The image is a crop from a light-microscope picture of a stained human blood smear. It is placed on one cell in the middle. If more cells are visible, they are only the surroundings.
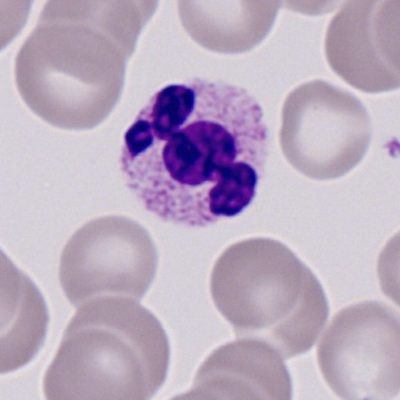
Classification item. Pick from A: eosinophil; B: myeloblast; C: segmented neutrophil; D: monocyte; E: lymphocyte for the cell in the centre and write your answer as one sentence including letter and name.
Option C is correct in that the central cell is a segmented neutrophil.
